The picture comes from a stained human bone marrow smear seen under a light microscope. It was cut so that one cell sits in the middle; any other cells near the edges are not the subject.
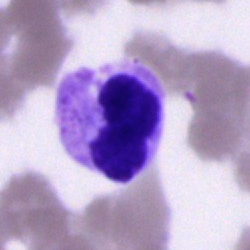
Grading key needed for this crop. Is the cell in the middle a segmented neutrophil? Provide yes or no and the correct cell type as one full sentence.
Yes, that middle cell in the crop is a segmented neutrophil.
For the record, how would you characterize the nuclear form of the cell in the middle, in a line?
Kindly observe that the nucleus forms two or more lobes.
